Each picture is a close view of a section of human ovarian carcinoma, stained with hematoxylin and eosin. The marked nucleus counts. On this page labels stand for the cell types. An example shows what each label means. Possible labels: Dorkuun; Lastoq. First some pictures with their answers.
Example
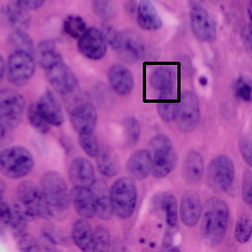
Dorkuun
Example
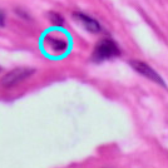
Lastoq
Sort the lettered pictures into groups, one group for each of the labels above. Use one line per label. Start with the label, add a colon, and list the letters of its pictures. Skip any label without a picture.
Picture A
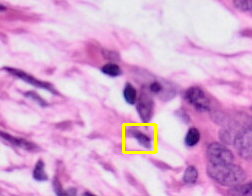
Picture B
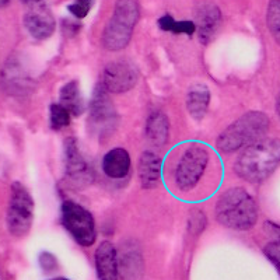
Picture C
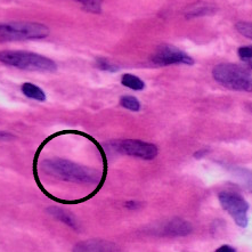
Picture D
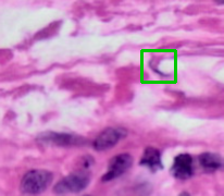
Dorkuun: B
Lastoq: A, C, D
